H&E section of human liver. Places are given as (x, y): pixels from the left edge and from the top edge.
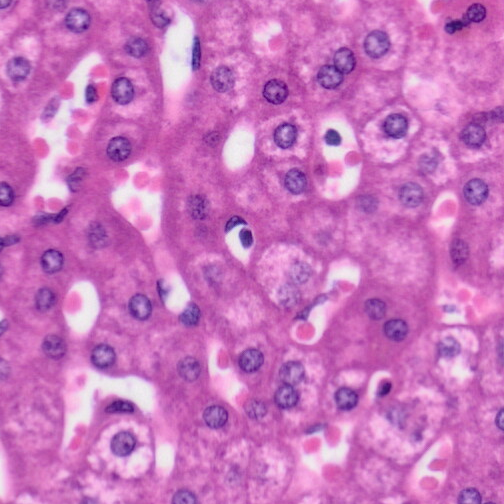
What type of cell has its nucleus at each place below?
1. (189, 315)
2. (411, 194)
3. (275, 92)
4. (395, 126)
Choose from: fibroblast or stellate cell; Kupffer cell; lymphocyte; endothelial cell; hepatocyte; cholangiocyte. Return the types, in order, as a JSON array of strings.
["fibroblast or stellate cell", "hepatocyte", "hepatocyte", "hepatocyte"]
